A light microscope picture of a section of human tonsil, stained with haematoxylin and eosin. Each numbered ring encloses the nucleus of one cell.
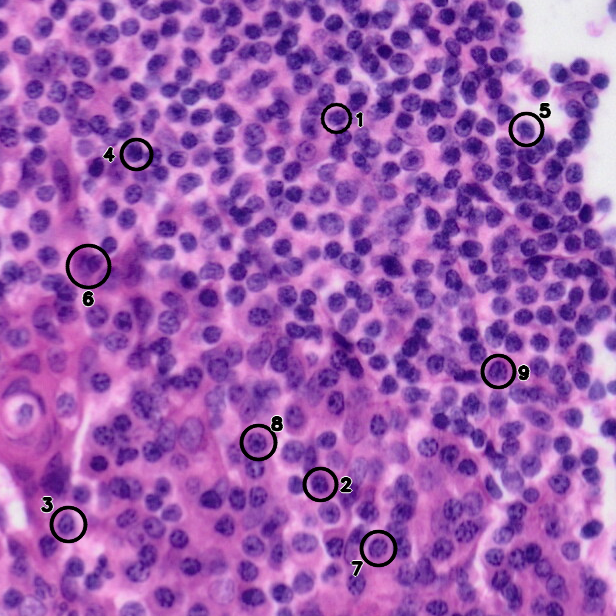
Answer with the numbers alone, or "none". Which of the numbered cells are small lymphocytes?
1, 4, 5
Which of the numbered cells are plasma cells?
2, 3, 7, 8, 9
